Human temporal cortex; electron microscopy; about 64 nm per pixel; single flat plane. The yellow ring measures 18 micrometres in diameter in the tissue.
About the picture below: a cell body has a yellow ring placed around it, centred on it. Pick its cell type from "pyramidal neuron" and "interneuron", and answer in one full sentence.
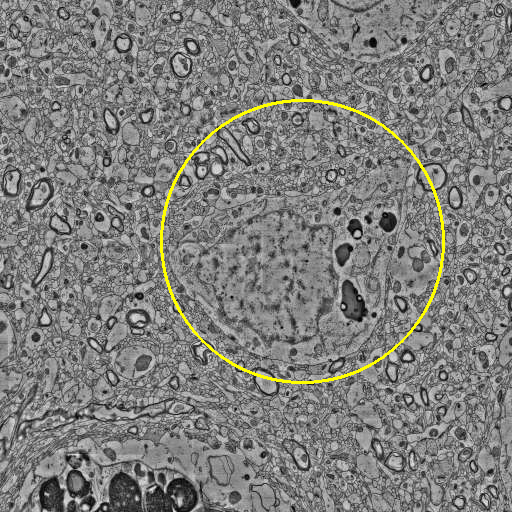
In the picture, an interneuron is the cell sitting at the centre of the yellow ring.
